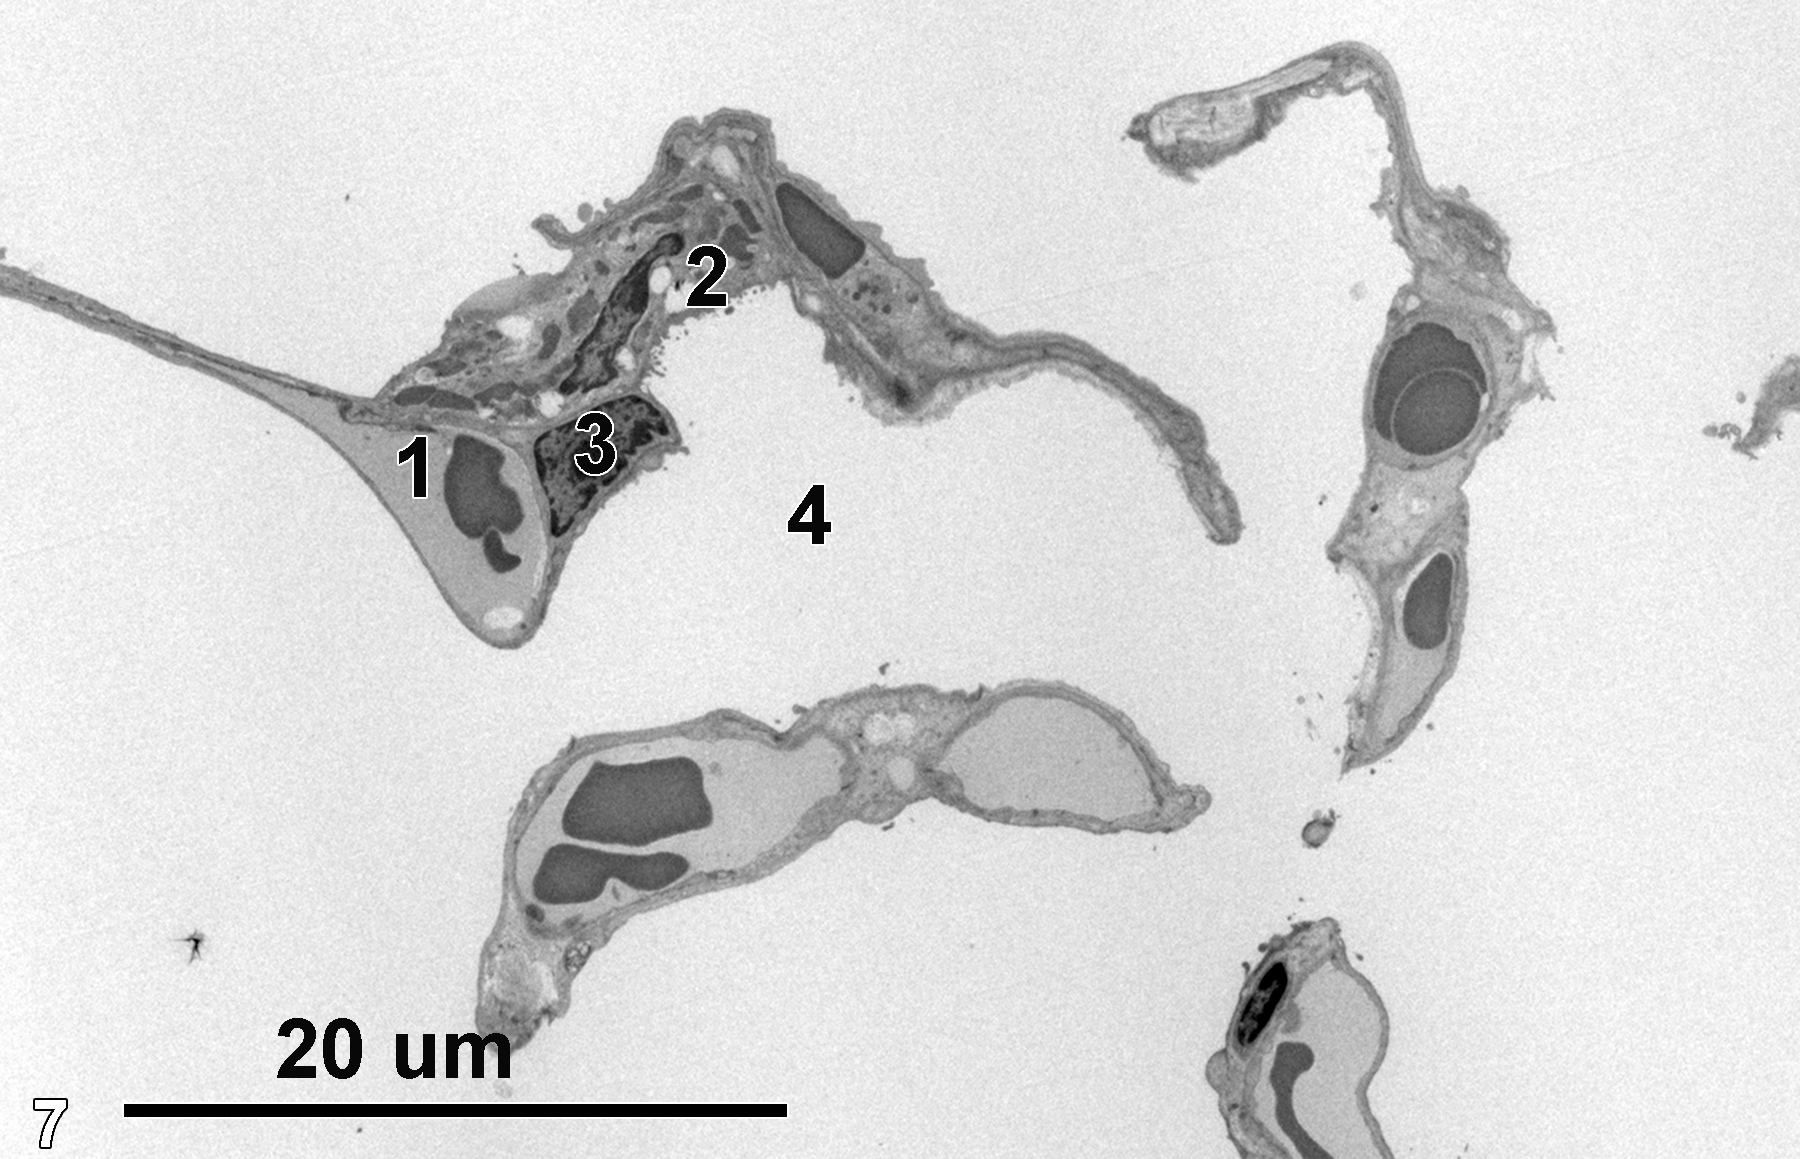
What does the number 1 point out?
capillary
